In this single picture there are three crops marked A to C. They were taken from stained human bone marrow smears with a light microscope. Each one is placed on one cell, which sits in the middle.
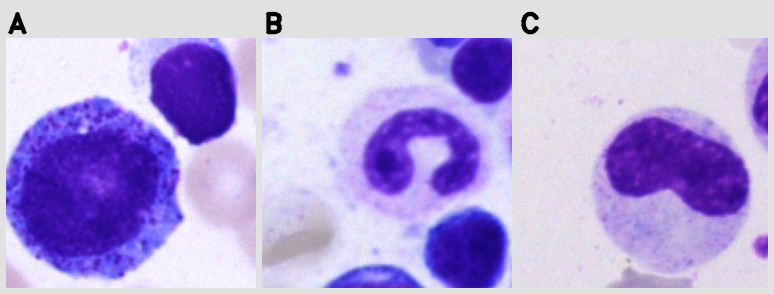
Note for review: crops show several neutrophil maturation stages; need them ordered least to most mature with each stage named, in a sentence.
In terms of maturity, from lowest to highest, the order reads crop A (a promyelocyte), crop C (a metamyelocyte) and crop B (a segmented neutrophil).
